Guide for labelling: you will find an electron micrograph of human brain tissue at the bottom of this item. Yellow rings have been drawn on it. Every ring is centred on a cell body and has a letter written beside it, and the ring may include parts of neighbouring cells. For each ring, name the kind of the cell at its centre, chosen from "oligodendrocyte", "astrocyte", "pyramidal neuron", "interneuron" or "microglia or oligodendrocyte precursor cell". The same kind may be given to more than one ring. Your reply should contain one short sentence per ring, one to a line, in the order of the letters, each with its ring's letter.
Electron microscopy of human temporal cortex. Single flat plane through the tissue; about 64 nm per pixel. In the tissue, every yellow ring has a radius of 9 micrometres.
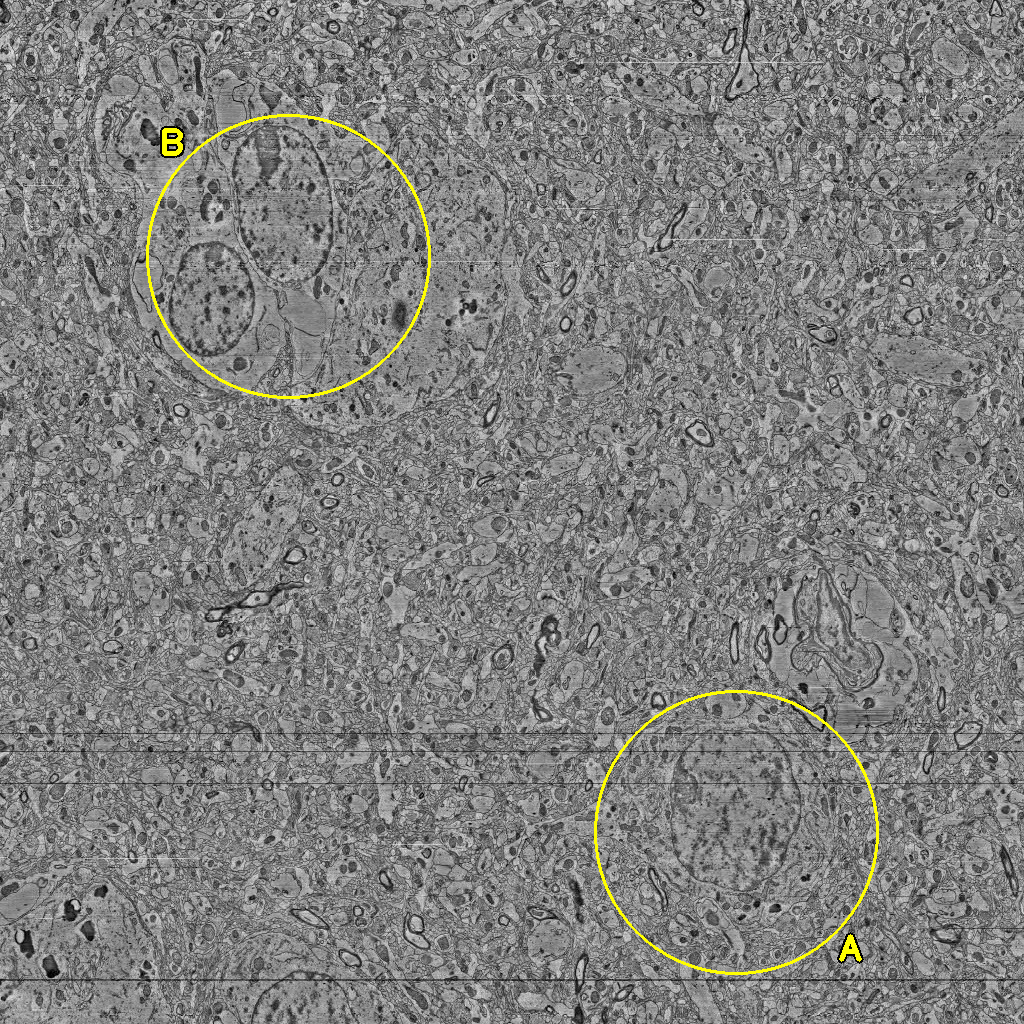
Ring A is centred on the body of an interneuron.
Ring B is centred on the body of an astrocyte.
